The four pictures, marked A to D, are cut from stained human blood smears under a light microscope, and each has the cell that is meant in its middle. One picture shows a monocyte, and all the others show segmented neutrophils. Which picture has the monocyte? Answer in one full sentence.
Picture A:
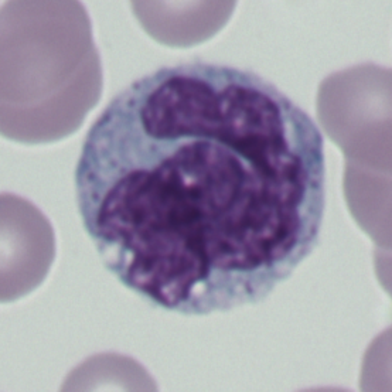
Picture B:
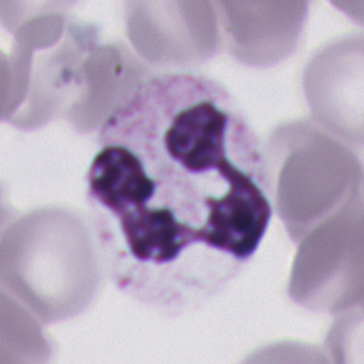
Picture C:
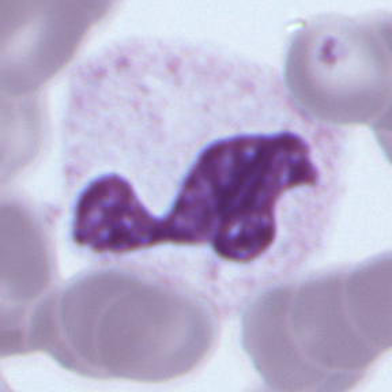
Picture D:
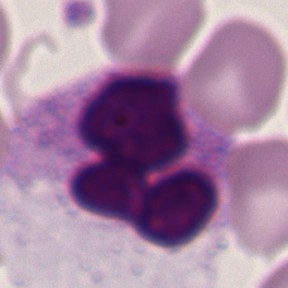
The monocyte is the one in picture A.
